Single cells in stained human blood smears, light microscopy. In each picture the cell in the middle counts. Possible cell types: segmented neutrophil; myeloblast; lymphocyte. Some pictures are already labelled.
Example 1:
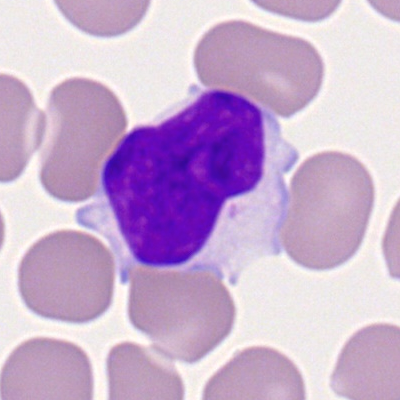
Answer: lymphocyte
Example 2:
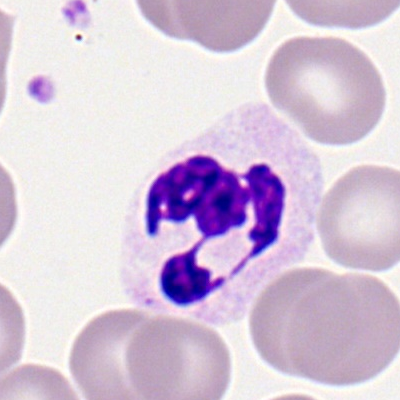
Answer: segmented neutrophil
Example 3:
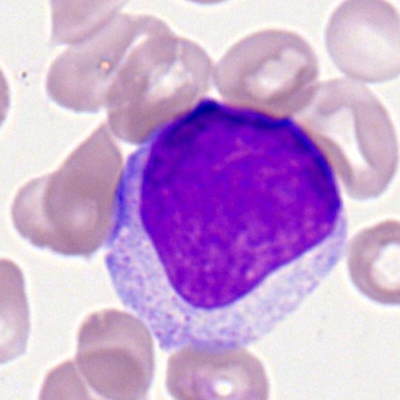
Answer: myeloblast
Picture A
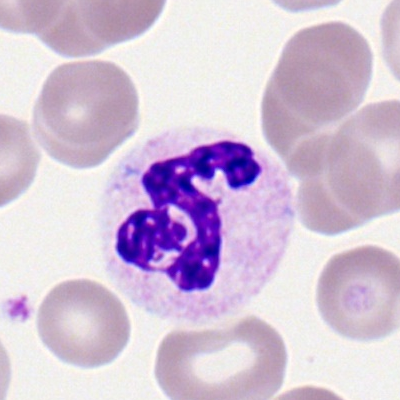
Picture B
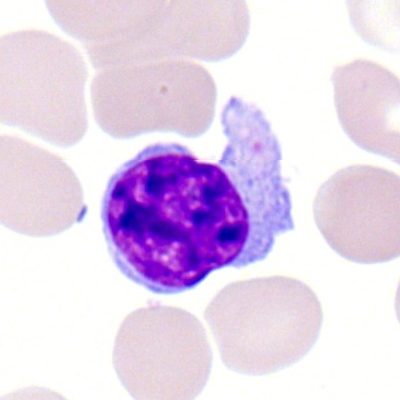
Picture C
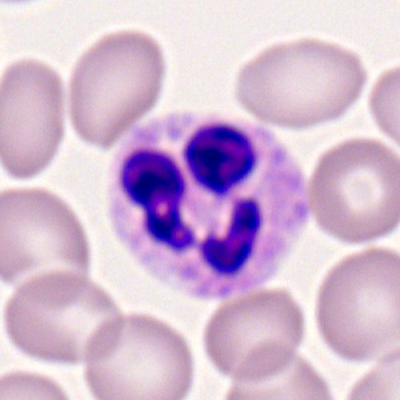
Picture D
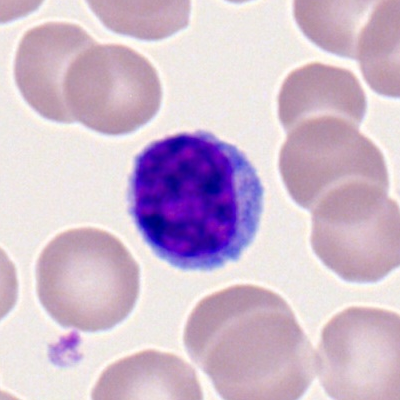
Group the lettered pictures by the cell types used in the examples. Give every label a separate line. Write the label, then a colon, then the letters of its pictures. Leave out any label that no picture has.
segmented neutrophil: A, C
lymphocyte: B, D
